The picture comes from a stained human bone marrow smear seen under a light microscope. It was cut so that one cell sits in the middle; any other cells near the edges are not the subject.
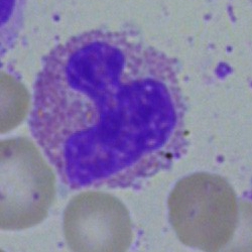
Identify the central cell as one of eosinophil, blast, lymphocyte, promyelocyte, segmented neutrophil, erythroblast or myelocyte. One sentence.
At the center of the crop sits an eosinophil.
